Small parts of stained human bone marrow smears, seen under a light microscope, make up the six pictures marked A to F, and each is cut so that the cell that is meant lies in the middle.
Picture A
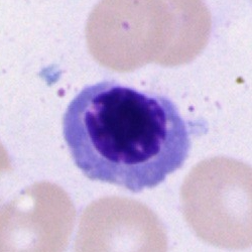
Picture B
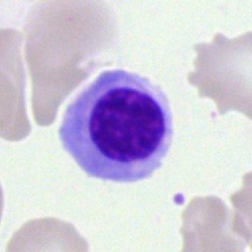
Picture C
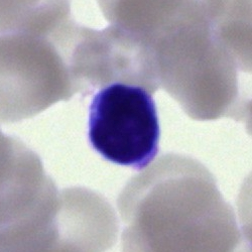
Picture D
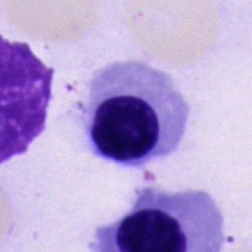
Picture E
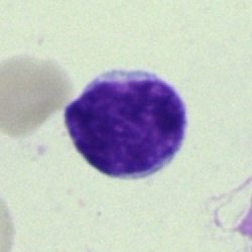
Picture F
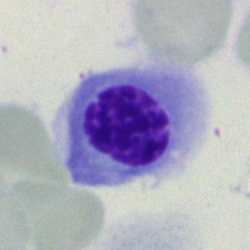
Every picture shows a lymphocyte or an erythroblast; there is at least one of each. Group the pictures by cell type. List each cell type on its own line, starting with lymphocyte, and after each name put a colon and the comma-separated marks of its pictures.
lymphocyte: C, E
erythroblast: A, B, D, F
